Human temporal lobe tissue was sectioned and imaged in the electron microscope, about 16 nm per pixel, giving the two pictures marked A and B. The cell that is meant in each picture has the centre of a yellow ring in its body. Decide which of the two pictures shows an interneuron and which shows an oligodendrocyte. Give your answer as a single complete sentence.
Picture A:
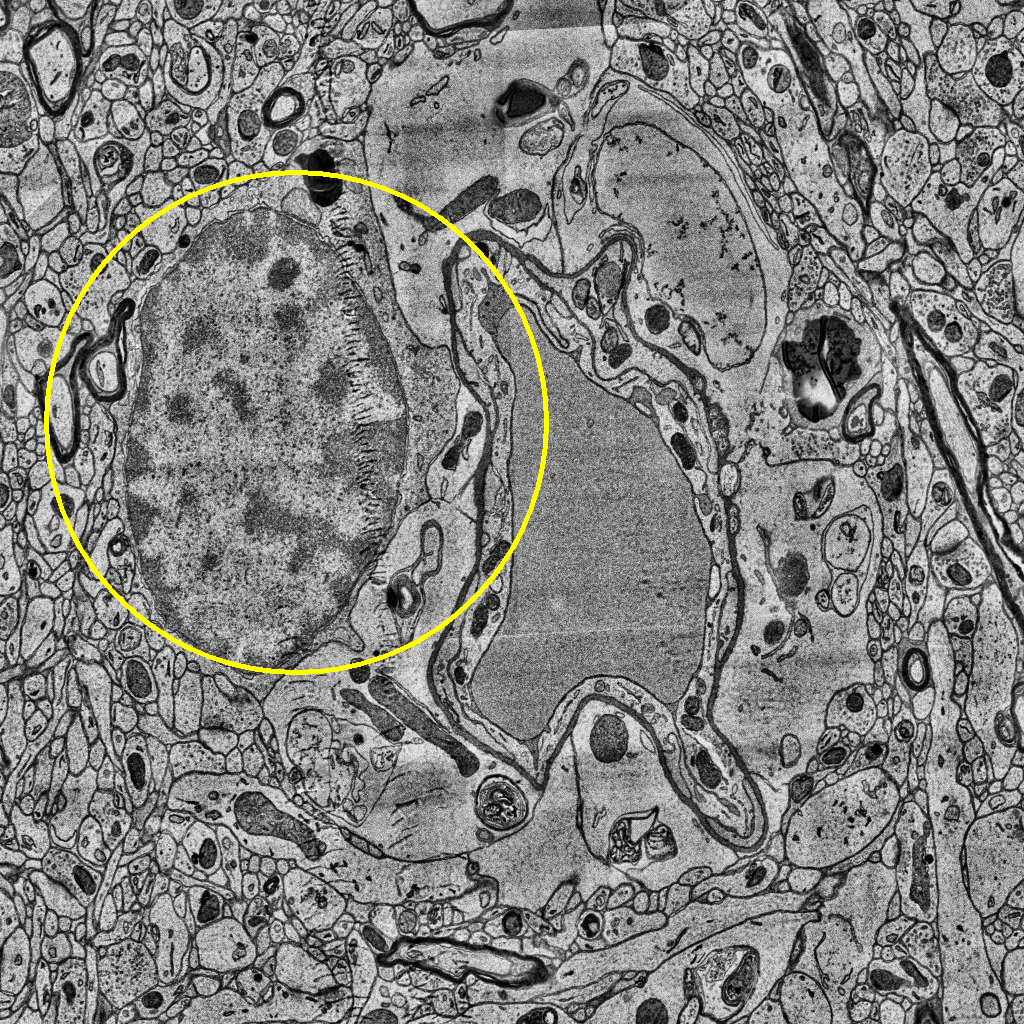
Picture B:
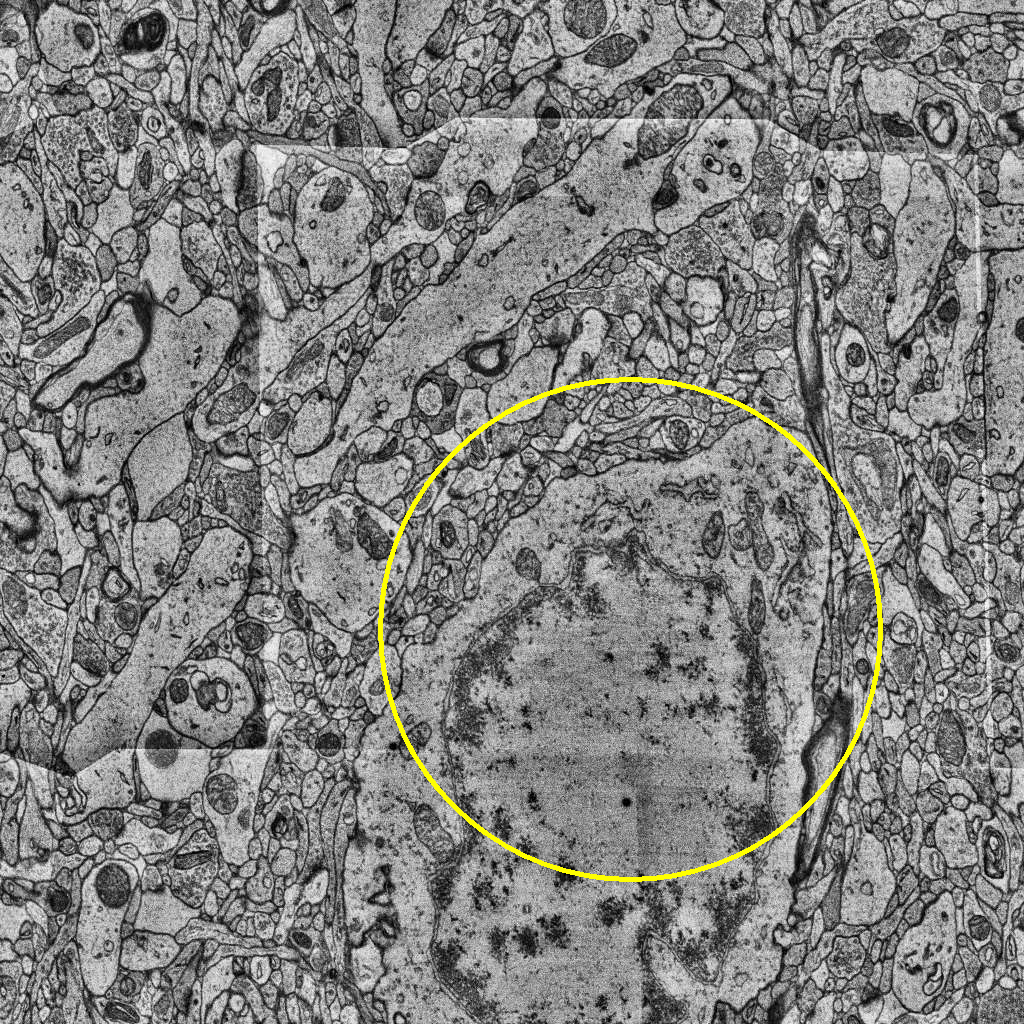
It is picture A that shows an oligodendrocyte, and picture B that shows an interneuron.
